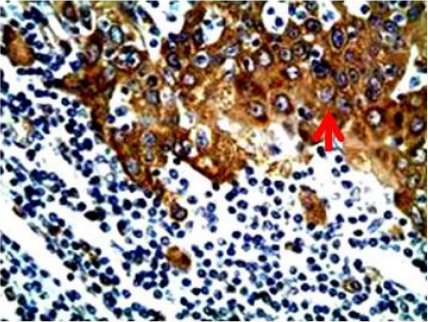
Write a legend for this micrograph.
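The upper part is occupied by a sheet of large tumour cells whose abundant cytoplasm stains brown and whose round to oval nuclei are pale with distinct nucleoli. The lower part is filled with densely packed small round lymphocytes with dark blue nuclei and scant cytoplasm, which remain unstained. A few brown-stained cells lie scattered among the lymphocytes near the border. A red arrow points into the brown-stained tumour cell sheet.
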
